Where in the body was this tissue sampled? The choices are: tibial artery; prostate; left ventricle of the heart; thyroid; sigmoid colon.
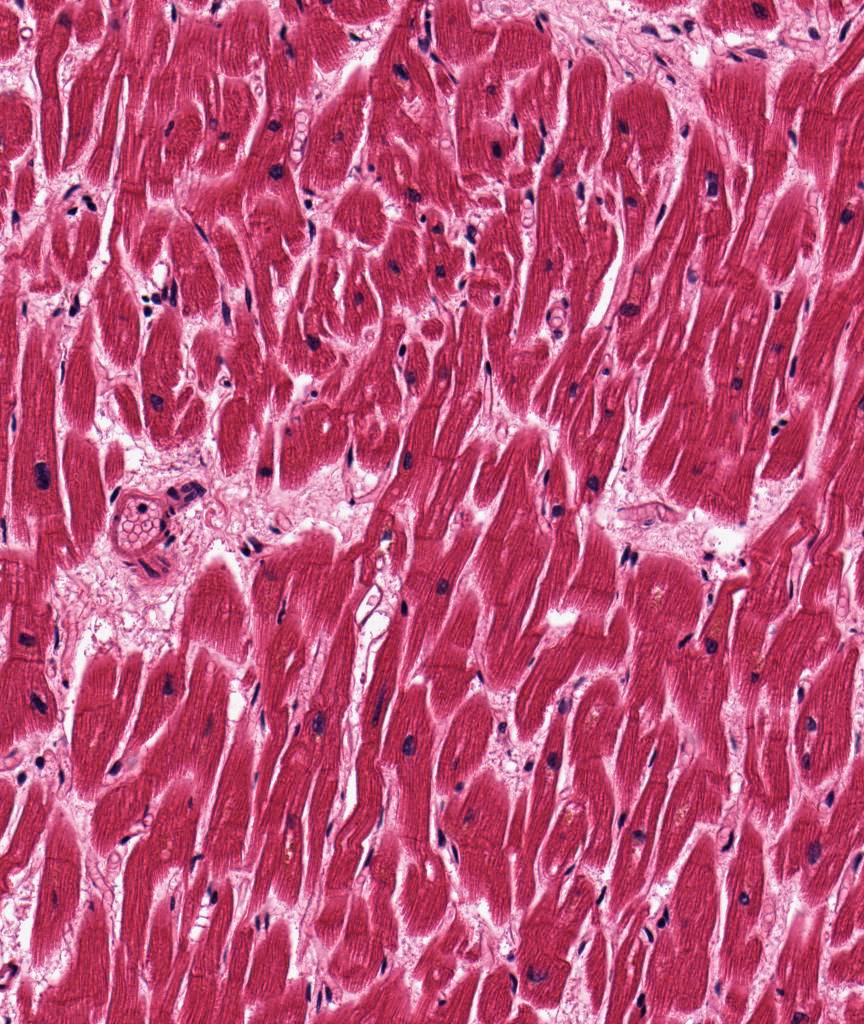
left ventricle of the heart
